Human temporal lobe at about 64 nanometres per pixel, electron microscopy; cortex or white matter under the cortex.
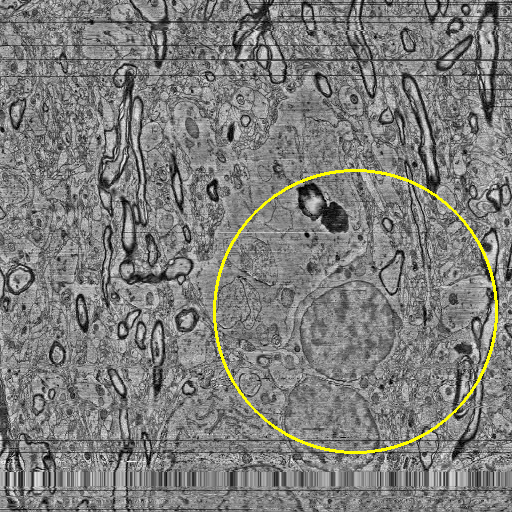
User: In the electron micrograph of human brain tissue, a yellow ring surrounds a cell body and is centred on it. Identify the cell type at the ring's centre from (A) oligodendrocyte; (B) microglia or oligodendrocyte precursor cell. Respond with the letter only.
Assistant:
A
